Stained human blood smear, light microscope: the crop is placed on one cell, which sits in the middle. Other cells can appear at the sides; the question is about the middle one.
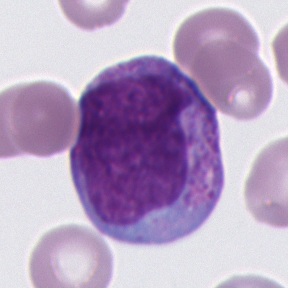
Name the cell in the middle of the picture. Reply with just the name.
atypical promyelocyte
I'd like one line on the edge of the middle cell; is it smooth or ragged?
Smooth edges only, with no spikes, blebs, or other projections.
